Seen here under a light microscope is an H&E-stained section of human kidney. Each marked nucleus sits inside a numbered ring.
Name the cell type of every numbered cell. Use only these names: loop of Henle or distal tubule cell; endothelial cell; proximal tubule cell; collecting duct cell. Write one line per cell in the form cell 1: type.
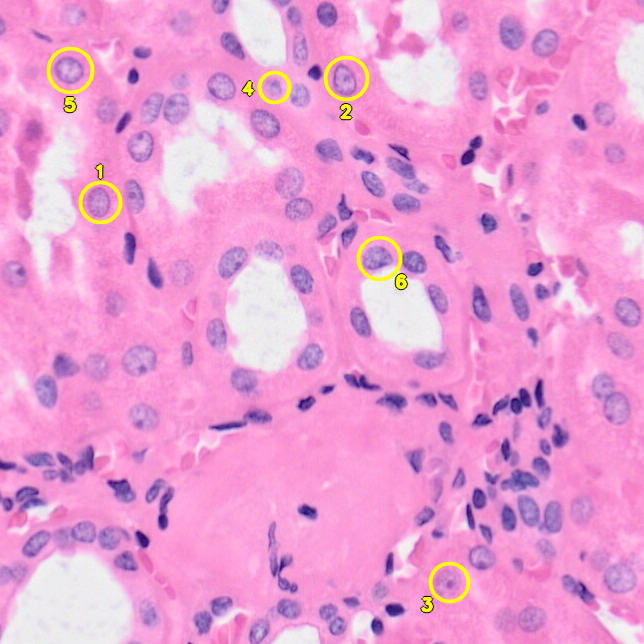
cell 1: proximal tubule cell
cell 2: proximal tubule cell
cell 3: proximal tubule cell
cell 4: collecting duct cell
cell 5: proximal tubule cell
cell 6: loop of Henle or distal tubule cell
